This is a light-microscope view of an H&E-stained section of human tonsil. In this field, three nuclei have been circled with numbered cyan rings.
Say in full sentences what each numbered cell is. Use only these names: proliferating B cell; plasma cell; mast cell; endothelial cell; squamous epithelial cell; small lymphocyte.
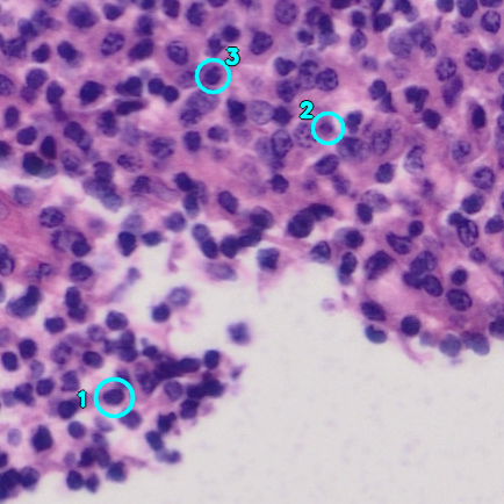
Cell 1 is a small lymphocyte. Cells 2 and 3 are plasma cells.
